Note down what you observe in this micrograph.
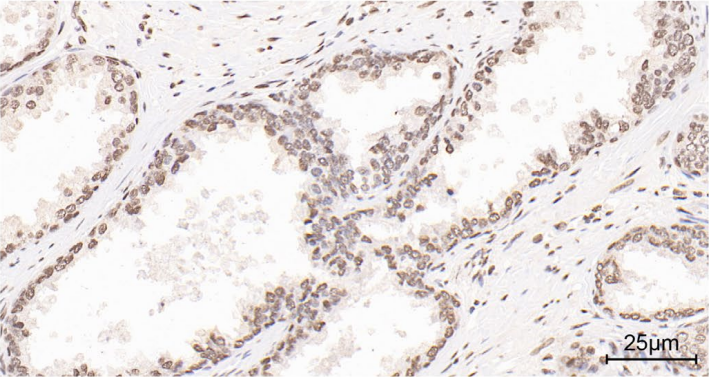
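Normal glandular tissue with large, irregular glands having wide lumina that contain pale flocculent secretion and shed cells. The glands are lined by one to two layers of epithelial cells whose round to oval nuclei are stained brown, and the loose stroma between them holds spindle-shaped cells whose elongated nuclei are also brown.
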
